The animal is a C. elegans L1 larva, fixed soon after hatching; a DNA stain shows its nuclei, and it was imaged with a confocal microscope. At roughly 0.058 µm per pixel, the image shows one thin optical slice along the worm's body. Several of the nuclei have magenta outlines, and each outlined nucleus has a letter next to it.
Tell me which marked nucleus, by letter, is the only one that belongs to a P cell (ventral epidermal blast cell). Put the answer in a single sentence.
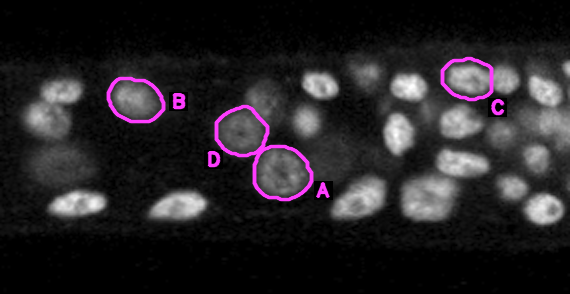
It is B that belongs to a P cell (ventral epidermal blast cell).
